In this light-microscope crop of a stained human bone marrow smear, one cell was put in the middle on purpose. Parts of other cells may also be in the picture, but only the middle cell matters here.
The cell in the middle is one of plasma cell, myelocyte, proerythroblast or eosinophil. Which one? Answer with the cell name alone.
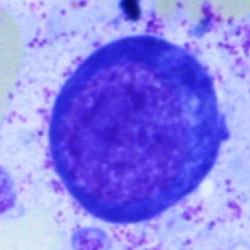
proerythroblast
